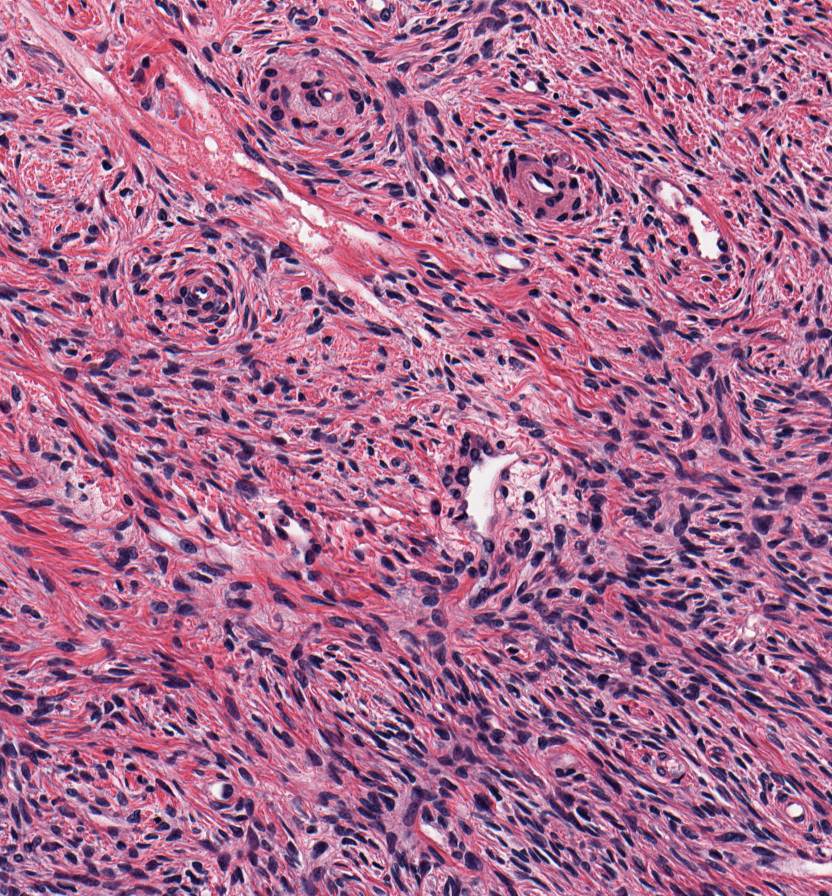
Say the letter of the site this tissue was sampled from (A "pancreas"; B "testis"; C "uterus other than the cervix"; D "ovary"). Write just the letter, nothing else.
D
